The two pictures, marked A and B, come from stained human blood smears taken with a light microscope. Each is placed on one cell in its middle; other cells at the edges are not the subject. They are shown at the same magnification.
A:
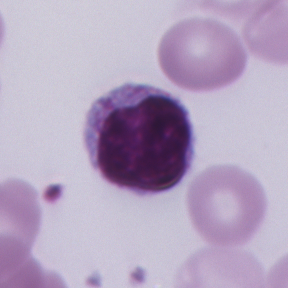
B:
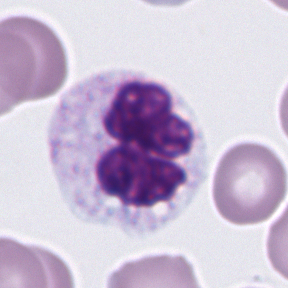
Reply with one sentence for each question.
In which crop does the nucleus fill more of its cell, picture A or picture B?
It is the cell in picture A that is filled more by its nucleus.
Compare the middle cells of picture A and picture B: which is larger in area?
Picture B holds the larger cell; it covers about 2 times the area of the cell in picture A.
